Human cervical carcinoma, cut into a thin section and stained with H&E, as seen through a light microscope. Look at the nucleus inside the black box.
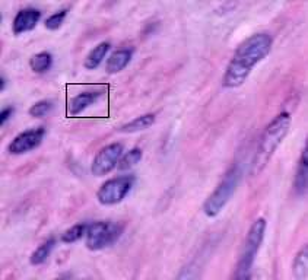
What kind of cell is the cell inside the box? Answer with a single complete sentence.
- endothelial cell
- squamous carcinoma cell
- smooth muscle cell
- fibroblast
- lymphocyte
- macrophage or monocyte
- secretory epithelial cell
The identity of the cell inside the box: it is a smooth muscle cell.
